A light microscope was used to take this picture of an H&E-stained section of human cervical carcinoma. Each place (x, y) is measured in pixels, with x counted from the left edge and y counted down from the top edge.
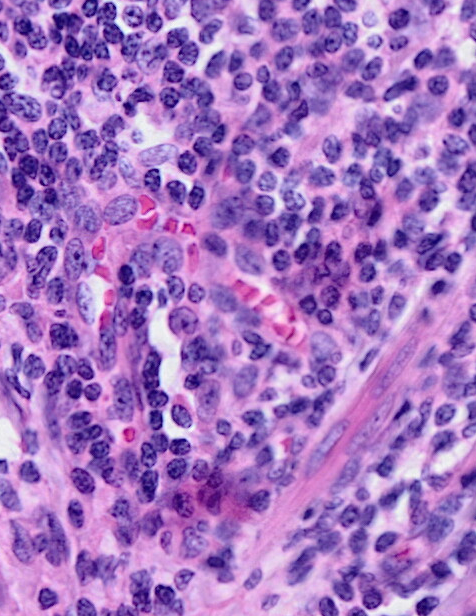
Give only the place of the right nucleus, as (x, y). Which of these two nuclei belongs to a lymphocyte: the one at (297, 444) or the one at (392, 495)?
(392, 495)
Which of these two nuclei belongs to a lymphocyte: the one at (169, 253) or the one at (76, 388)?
(76, 388)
